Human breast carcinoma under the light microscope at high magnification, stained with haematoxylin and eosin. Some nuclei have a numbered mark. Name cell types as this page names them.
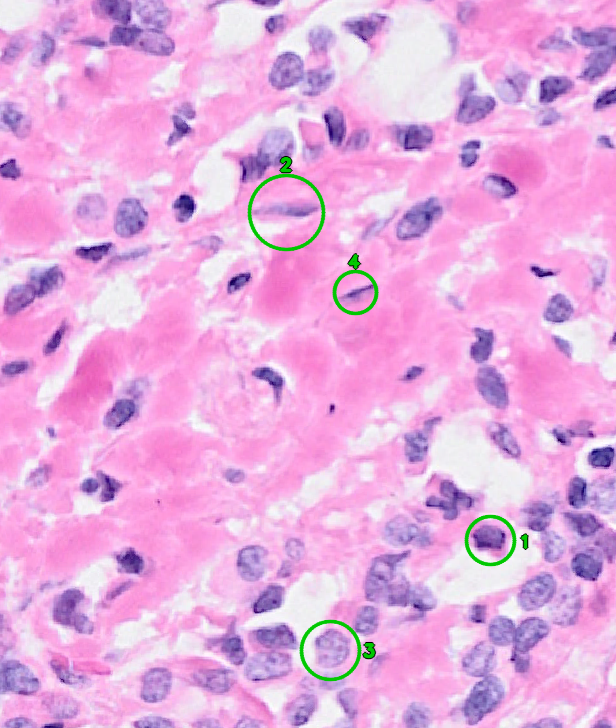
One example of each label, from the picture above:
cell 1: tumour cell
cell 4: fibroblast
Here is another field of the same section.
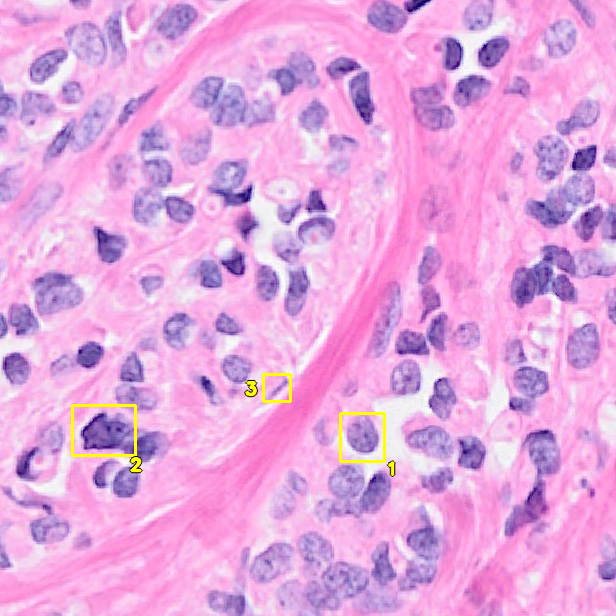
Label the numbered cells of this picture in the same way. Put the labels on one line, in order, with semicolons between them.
tumour cell; tumour cell; fibroblast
